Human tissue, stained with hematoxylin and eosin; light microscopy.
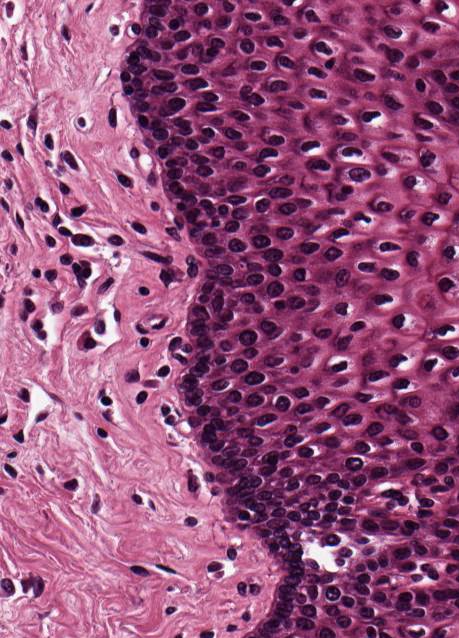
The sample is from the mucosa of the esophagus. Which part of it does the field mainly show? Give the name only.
stratified squamous nonkeratinized epithelium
